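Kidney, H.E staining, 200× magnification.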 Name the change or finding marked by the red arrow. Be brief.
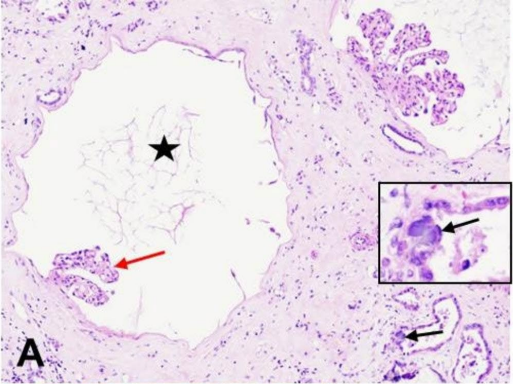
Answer: Atrophic glomerular tufts.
